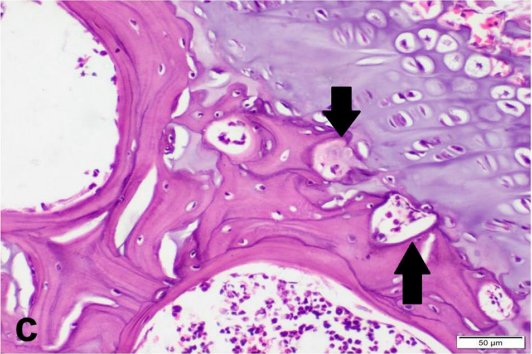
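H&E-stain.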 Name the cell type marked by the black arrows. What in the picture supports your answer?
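The arrows point to small cavities cut into the edge of the pink bone matrix.
Hence: osteoclasts.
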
